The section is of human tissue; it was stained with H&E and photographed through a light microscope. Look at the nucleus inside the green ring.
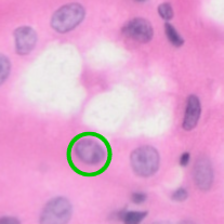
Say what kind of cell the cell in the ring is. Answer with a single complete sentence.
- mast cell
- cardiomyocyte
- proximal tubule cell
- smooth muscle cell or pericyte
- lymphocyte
In this section of tissue, the cell in the ring is a proximal tubule cell.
